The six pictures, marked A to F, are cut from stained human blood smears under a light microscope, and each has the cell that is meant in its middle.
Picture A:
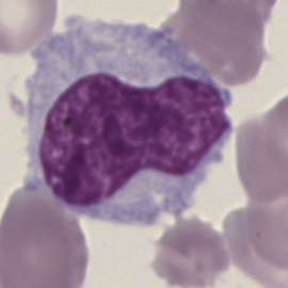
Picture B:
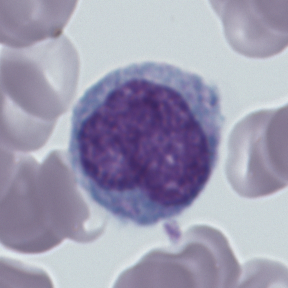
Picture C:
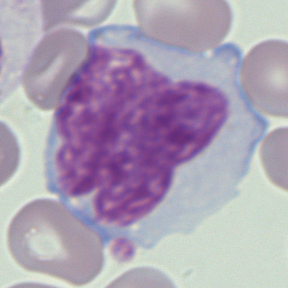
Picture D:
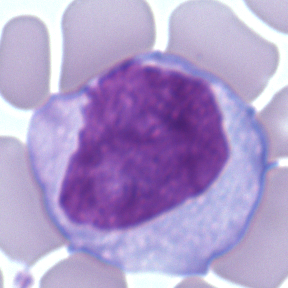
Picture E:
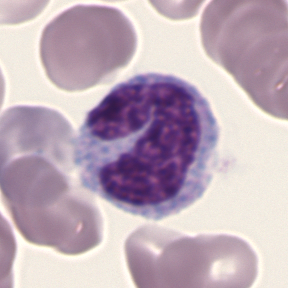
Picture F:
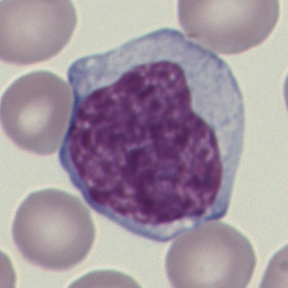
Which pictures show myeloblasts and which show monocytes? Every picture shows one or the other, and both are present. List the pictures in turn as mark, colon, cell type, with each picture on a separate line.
A: monocyte
B: monocyte
C: myeloblast
D: monocyte
E: monocyte
F: myeloblast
